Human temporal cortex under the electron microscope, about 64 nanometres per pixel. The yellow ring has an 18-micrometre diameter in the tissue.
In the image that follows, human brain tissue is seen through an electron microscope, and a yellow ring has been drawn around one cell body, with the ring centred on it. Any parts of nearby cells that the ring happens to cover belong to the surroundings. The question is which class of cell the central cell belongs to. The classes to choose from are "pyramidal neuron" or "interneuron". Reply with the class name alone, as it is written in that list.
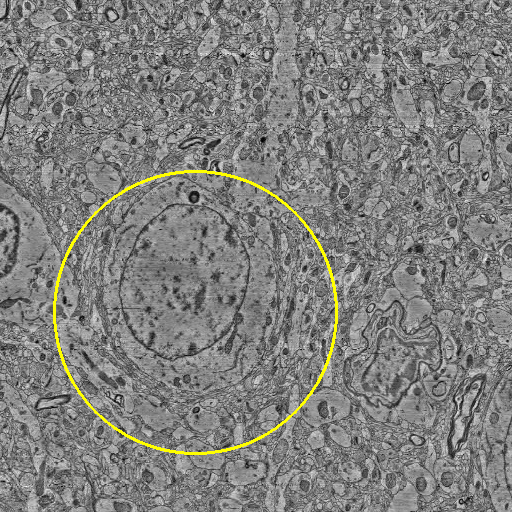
pyramidal neuron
